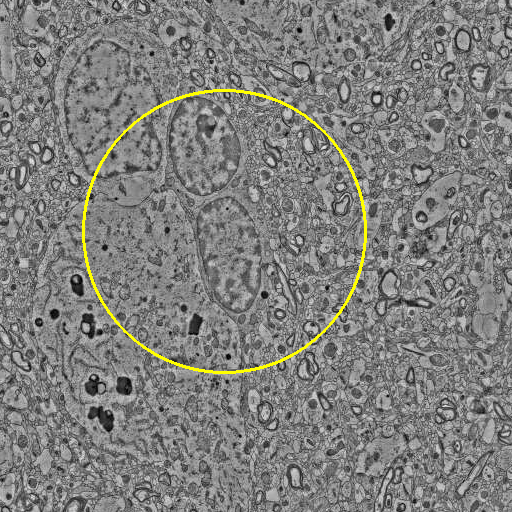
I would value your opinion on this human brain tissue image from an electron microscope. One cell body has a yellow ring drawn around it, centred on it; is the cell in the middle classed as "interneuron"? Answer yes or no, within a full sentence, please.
No, I would class the cell in the middle of the ring as a different kind.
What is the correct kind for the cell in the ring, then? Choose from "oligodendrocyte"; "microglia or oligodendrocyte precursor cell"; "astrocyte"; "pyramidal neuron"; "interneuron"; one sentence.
Instead, the cell at the centre of the ring is an oligodendrocyte.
